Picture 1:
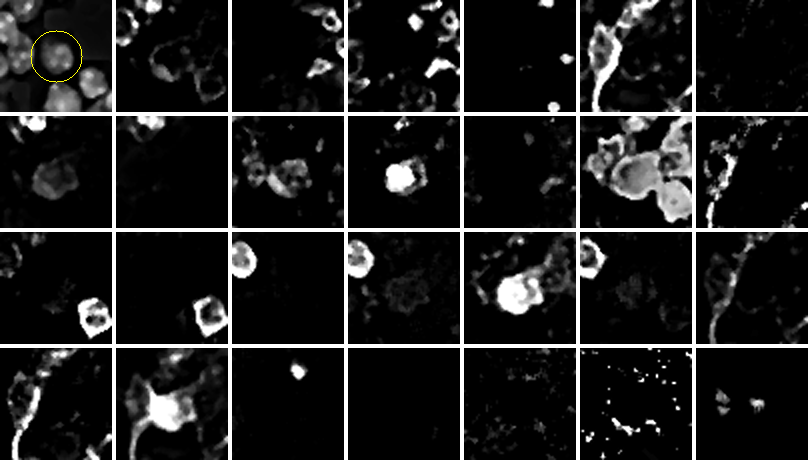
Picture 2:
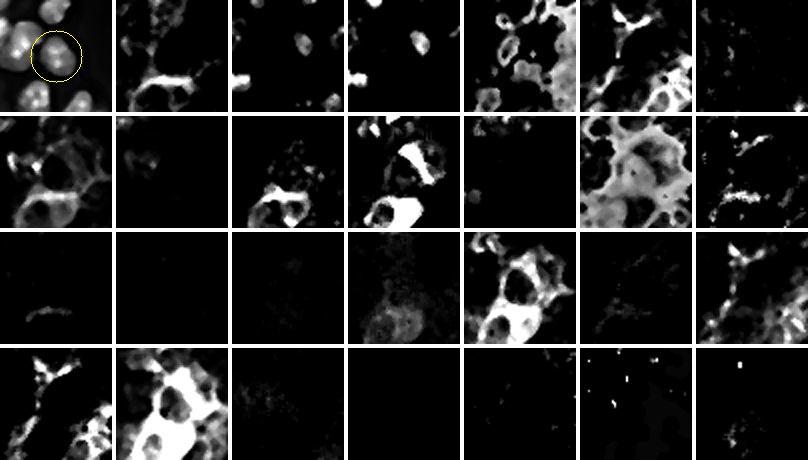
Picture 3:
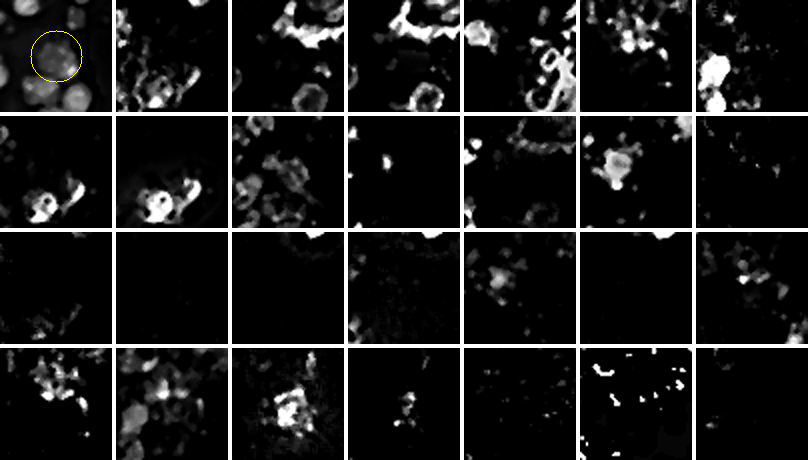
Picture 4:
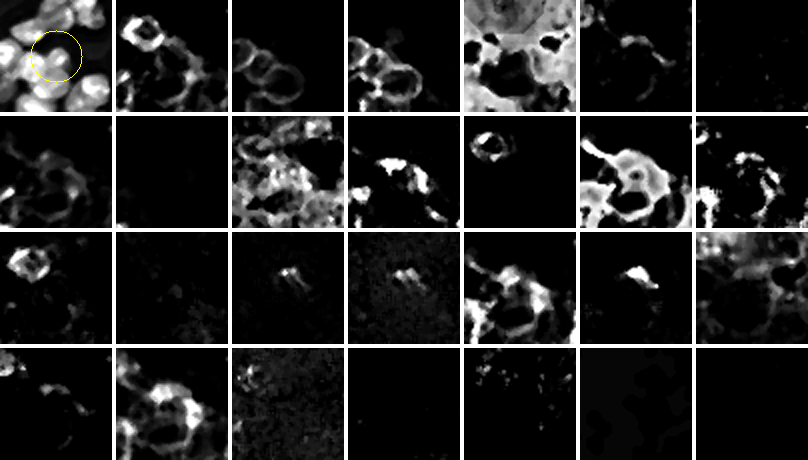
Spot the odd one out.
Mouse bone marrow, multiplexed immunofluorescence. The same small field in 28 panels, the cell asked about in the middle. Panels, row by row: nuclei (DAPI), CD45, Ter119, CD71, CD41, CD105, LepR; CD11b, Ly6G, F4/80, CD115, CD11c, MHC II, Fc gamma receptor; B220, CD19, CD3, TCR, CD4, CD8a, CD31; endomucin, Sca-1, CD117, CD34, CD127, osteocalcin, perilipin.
Picture 3 (a KLS stem or progenitor cell among monocytes).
